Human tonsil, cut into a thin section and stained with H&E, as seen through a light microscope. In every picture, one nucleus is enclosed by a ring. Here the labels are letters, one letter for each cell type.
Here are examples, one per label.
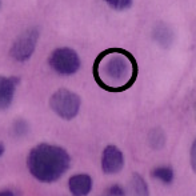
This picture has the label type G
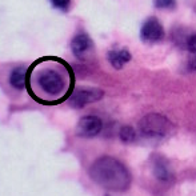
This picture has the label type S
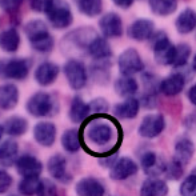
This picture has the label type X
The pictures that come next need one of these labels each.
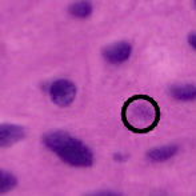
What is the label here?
type G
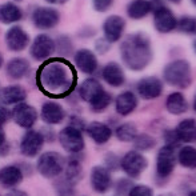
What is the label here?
type X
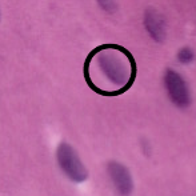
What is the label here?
type G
